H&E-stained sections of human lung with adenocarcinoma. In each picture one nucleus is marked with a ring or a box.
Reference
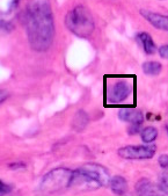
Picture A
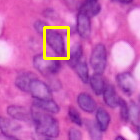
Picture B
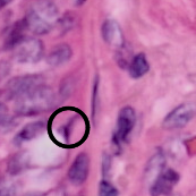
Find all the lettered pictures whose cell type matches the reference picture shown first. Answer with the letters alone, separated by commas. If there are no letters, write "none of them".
none of them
